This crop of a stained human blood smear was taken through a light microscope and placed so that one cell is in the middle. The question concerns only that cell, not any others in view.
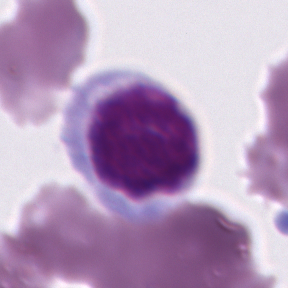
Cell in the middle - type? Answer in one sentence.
As for the central cell, it is a hairy cell.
